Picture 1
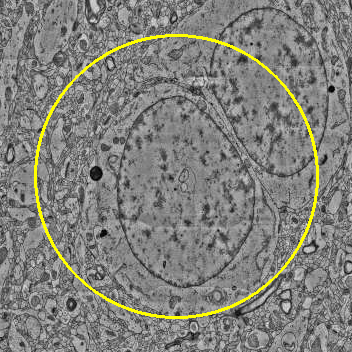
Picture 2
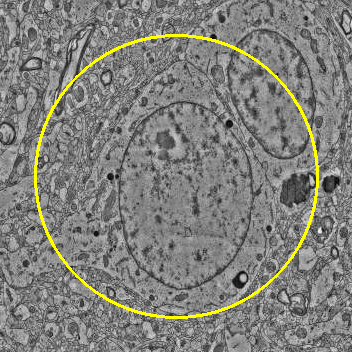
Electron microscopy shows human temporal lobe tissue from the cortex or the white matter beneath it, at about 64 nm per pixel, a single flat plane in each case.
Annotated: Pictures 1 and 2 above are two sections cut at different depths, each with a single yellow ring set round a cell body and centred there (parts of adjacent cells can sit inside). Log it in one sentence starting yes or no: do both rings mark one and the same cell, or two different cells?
Yes, both rings identify a single, shared cell.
